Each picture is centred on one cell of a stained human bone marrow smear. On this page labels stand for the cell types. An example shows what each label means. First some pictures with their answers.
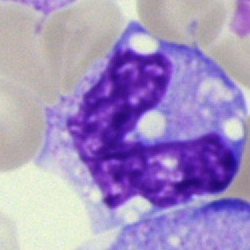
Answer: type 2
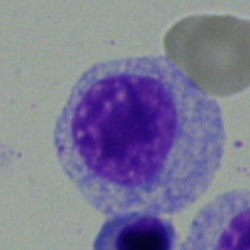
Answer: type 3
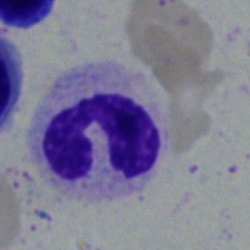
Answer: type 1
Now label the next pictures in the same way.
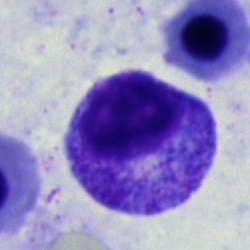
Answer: type 3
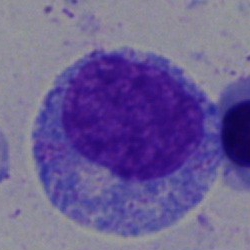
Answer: type 3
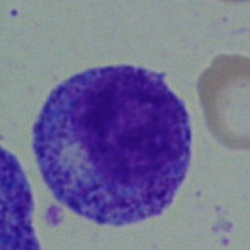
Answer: type 3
